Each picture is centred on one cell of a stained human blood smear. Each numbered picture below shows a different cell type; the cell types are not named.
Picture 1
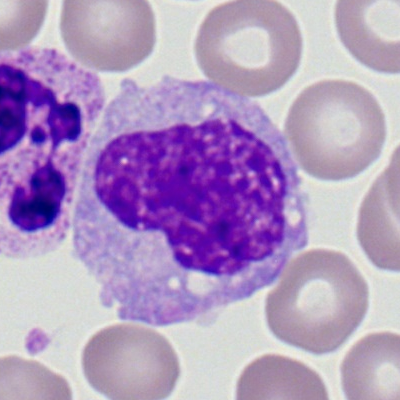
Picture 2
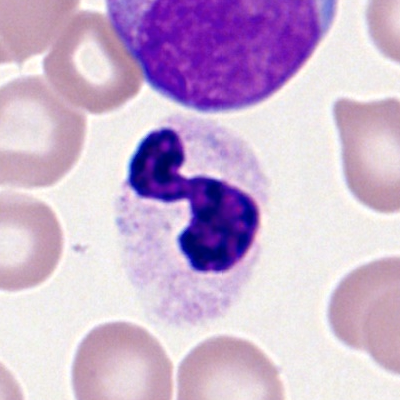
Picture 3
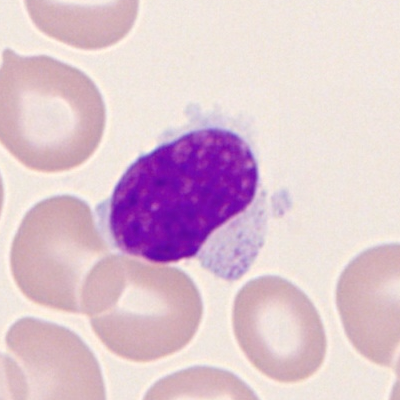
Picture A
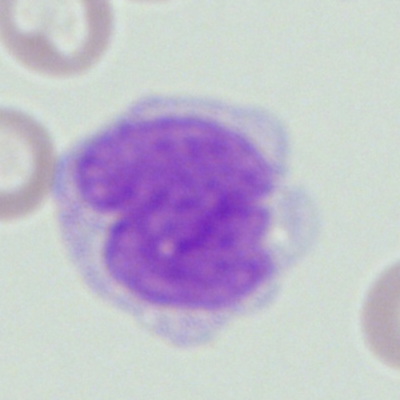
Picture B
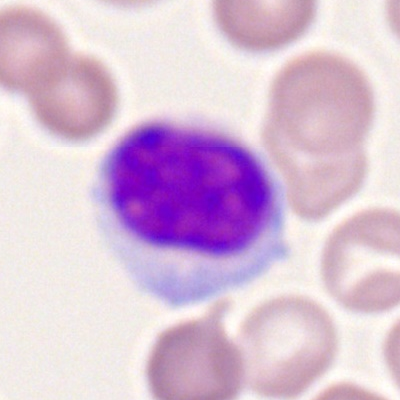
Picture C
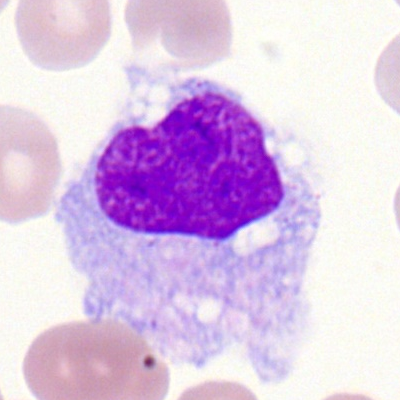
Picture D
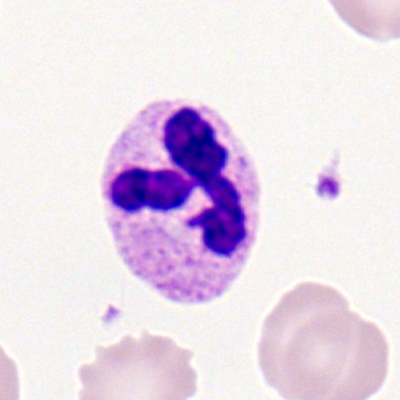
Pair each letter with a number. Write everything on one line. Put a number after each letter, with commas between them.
A 1, B 3, C 1, D 2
